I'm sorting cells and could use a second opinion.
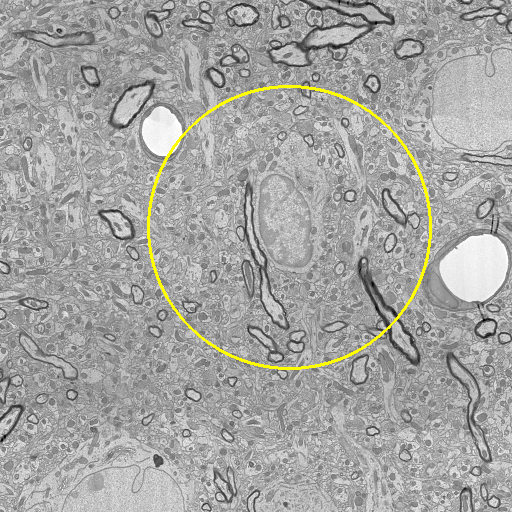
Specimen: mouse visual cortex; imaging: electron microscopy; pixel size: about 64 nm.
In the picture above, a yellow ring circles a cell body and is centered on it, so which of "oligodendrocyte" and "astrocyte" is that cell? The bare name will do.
oligodendrocyte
